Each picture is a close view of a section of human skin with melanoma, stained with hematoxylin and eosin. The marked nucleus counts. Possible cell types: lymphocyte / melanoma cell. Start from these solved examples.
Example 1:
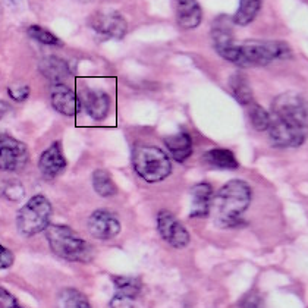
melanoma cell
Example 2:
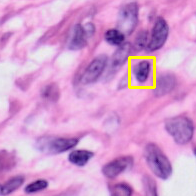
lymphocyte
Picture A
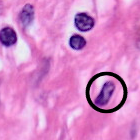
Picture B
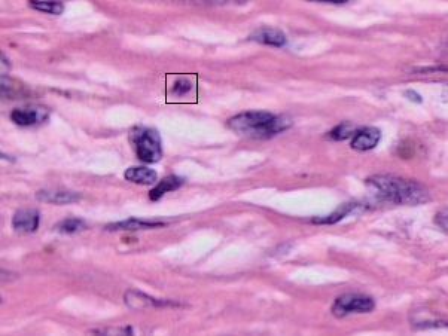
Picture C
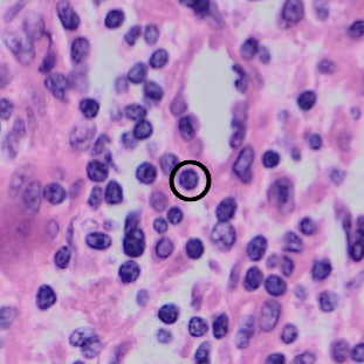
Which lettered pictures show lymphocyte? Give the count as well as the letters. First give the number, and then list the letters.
Count: 3 (A, B, C)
